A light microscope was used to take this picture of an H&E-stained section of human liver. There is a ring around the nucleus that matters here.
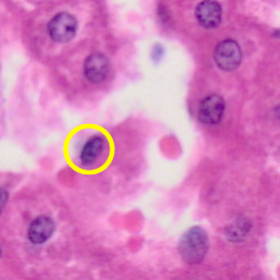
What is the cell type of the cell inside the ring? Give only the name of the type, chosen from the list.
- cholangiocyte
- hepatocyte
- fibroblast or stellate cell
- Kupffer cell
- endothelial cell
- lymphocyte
fibroblast or stellate cell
